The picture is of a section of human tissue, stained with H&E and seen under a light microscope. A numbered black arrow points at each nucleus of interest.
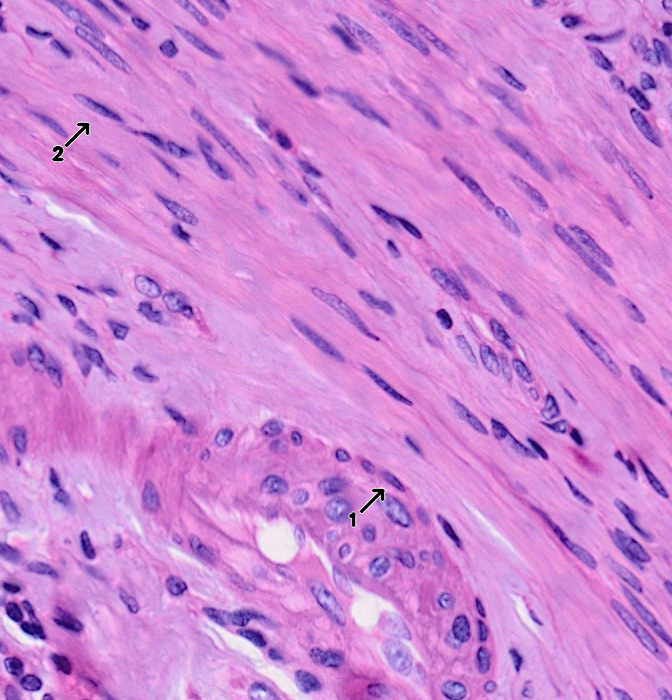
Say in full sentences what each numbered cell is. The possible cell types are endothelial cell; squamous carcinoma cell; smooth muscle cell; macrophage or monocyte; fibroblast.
Cell 1 is a smooth muscle cell. Cell 2 is a fibroblast.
